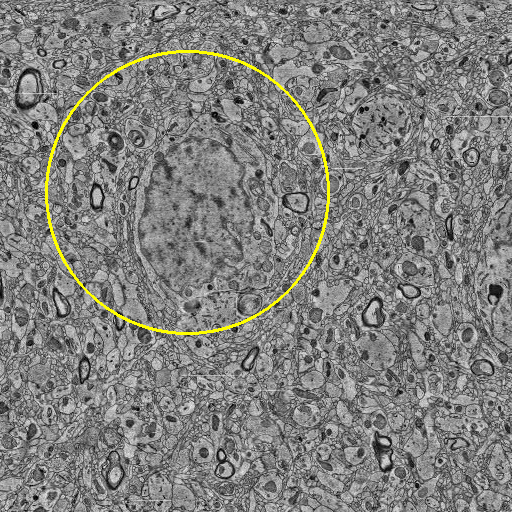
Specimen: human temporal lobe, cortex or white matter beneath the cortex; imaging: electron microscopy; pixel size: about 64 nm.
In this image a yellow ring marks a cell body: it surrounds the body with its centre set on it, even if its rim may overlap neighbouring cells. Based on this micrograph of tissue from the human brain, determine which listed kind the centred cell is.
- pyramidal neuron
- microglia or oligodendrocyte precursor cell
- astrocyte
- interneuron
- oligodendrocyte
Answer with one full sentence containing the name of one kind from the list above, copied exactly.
It is an interneuron whose body the yellow ring encloses at its centre.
